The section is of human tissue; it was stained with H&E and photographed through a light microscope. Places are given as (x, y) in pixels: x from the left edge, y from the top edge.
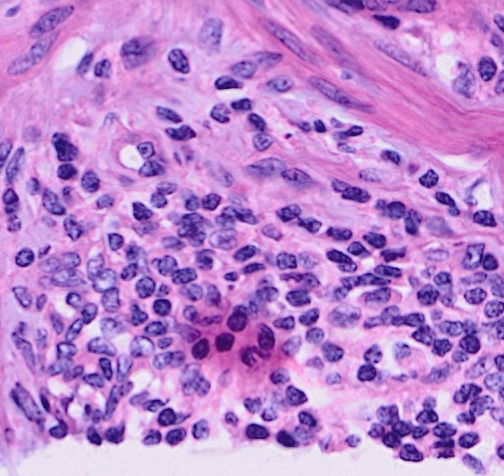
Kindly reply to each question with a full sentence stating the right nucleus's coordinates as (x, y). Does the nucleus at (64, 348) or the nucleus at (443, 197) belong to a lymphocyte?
The nucleus lying at (443, 197) is the nucleus of a lymphocyte.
